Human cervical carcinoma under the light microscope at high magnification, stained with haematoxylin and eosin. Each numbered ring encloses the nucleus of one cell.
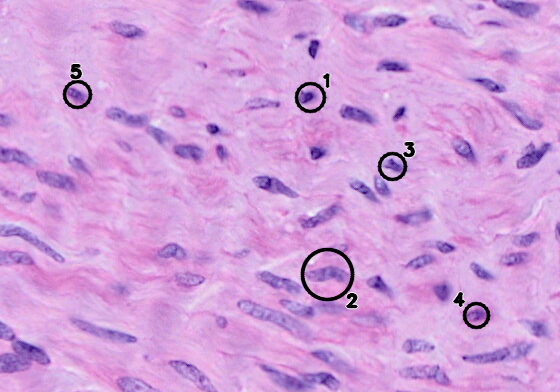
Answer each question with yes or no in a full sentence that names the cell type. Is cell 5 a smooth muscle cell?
Yes, the cell that the number 5 labels is a smooth muscle cell.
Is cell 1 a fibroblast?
Yes, the cell that number 1 points to is a fibroblast.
